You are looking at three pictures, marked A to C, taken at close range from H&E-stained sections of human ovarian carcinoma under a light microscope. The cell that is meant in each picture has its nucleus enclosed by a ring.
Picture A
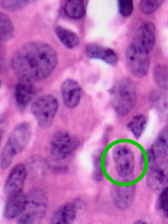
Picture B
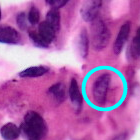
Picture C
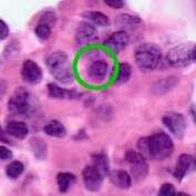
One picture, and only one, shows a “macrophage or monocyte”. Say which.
A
